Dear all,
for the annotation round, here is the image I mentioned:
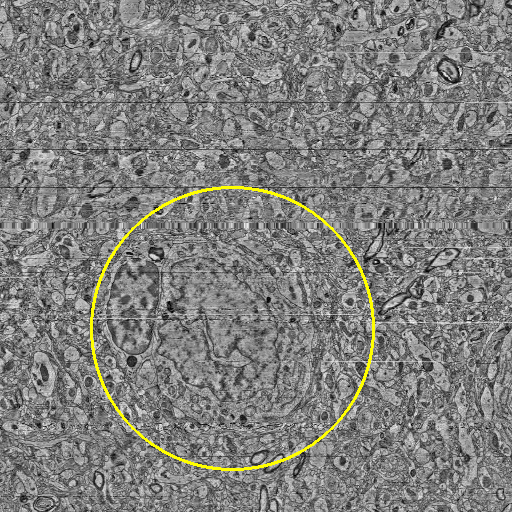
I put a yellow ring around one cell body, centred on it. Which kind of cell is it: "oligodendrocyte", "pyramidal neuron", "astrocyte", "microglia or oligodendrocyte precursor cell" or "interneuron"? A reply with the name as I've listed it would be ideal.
interneuron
